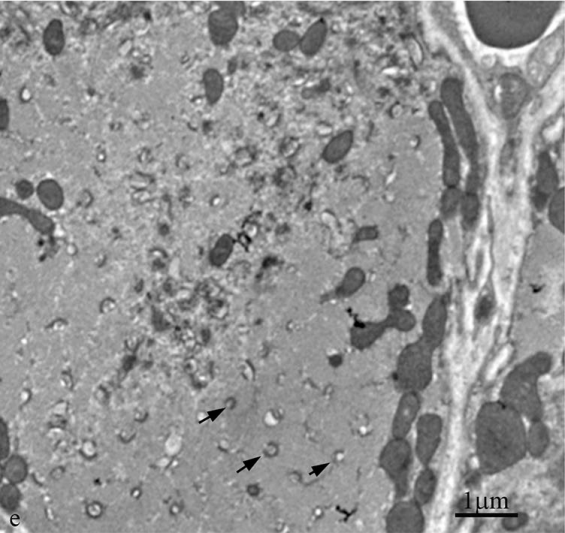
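Two heart muscle cells are cut across: on the left a broad pale region of myofibrils holds many small round membrane profiles with pale centres and only a few small, dark, oval mitochondria. The left cell shows a mitochondria-sparse region near an intercalated disc, crowded with cross-cut membrane fingers of axial tubules.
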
